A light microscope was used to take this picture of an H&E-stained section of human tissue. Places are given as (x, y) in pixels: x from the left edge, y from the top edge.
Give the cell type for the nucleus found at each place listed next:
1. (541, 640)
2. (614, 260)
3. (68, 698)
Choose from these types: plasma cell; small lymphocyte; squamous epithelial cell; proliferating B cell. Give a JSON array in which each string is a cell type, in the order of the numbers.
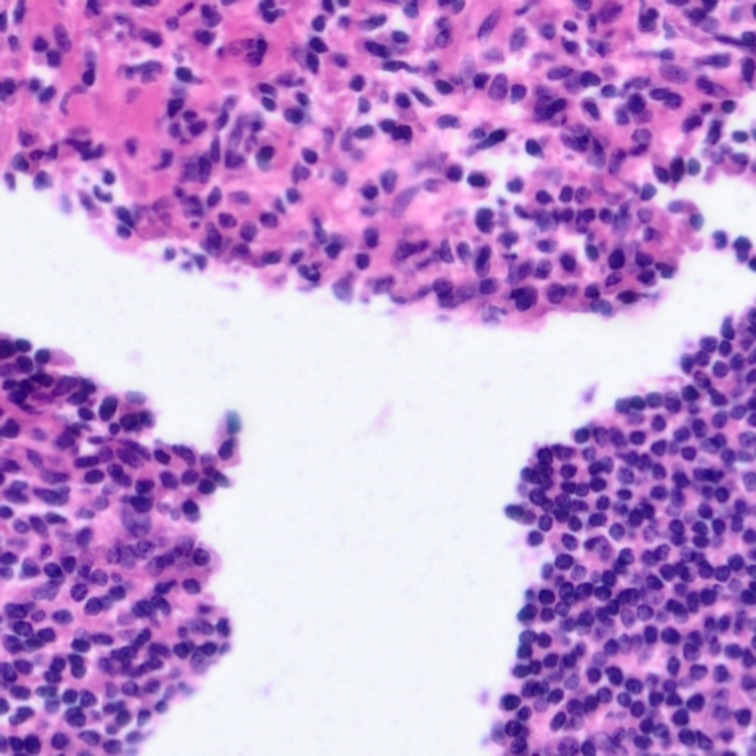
["small lymphocyte", "plasma cell", "small lymphocyte"]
